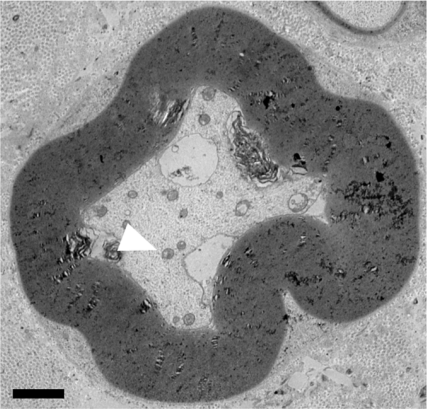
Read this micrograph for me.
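This is a single myelinated nerve fiber of a peripheral nerve cut across, its thick, dark, compact myelin sheath folded into a lobed outline. Inside, the pale axon holds a few small round mitochondria, and dense whorled bits of membrane lie at the inner edge of the sheath.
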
